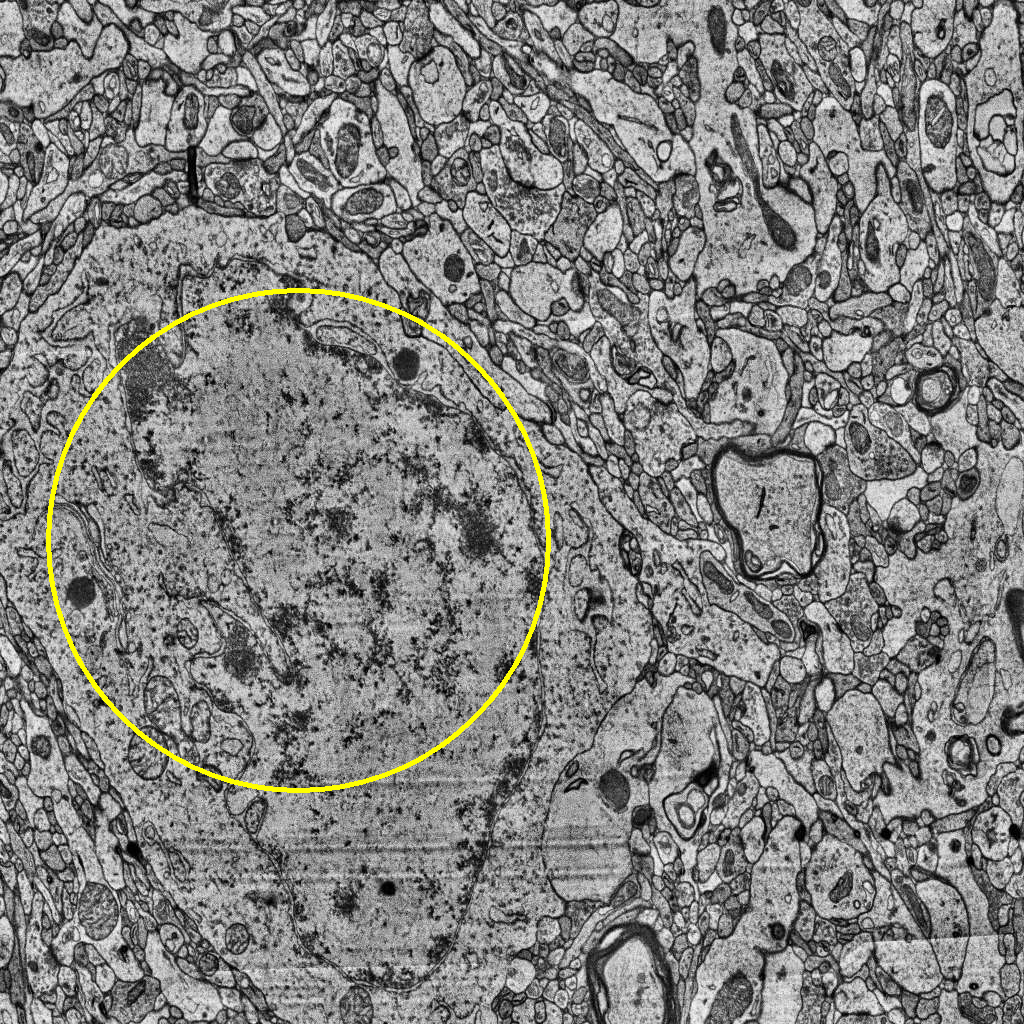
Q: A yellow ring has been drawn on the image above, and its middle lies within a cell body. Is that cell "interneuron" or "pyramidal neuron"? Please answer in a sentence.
The ring's middle lies in the cell body of an interneuron.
